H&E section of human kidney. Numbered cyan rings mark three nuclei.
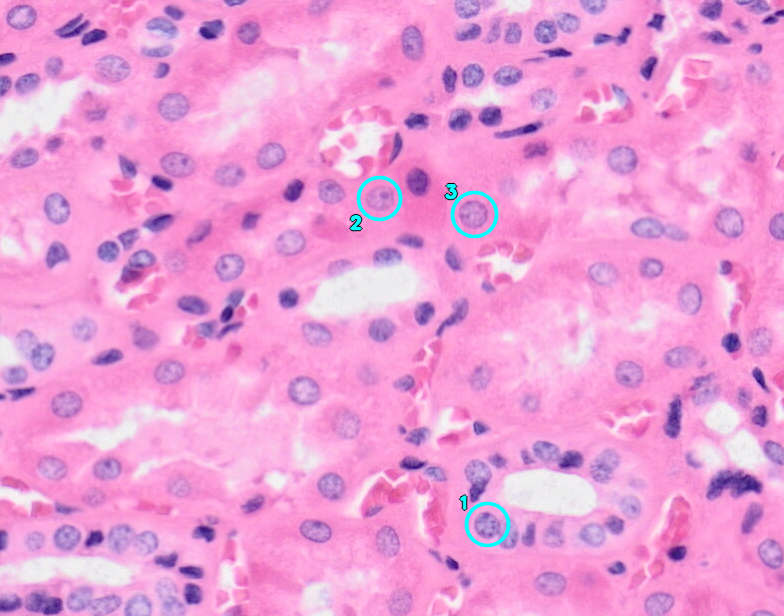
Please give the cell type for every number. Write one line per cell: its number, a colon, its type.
1: collecting duct cell
2: proximal tubule cell
3: proximal tubule cell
